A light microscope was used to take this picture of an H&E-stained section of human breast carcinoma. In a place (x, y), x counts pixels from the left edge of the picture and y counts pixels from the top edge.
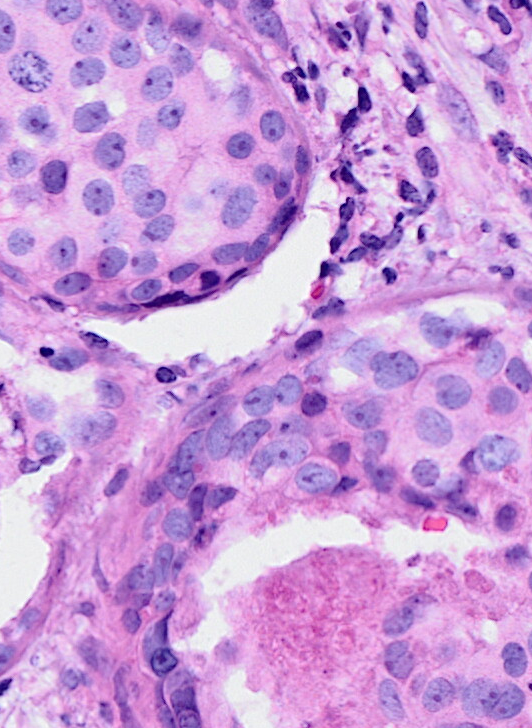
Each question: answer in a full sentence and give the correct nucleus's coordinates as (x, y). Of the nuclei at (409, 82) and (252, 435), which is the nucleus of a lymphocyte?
Of the two options, the nucleus at (409, 82) is the one that belongs to a lymphocyte.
